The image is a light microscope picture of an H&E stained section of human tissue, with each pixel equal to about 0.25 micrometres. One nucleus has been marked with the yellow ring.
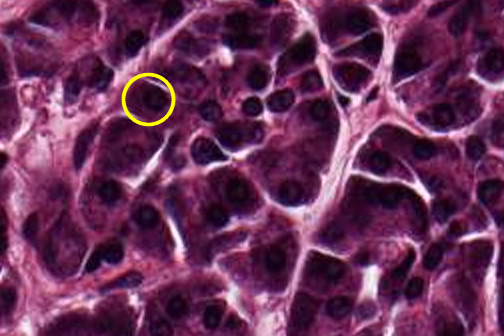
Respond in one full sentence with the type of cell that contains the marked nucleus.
The marked nucleus is found in a pancreatic acinar cell.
